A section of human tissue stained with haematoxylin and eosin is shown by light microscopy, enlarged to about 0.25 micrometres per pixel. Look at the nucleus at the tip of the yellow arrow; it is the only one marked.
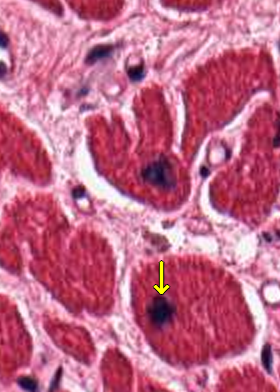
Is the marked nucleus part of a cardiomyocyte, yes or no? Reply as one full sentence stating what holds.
Yes, the cell to which the marked nucleus belongs is a cardiomyocyte.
